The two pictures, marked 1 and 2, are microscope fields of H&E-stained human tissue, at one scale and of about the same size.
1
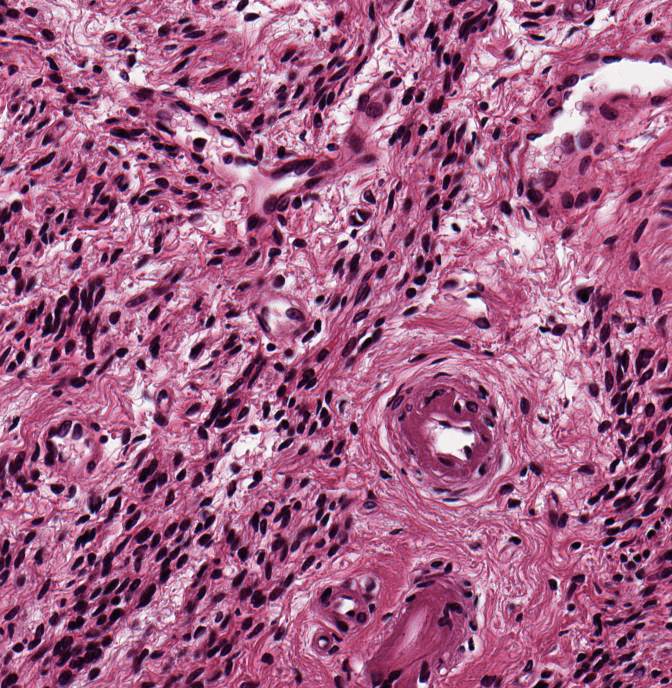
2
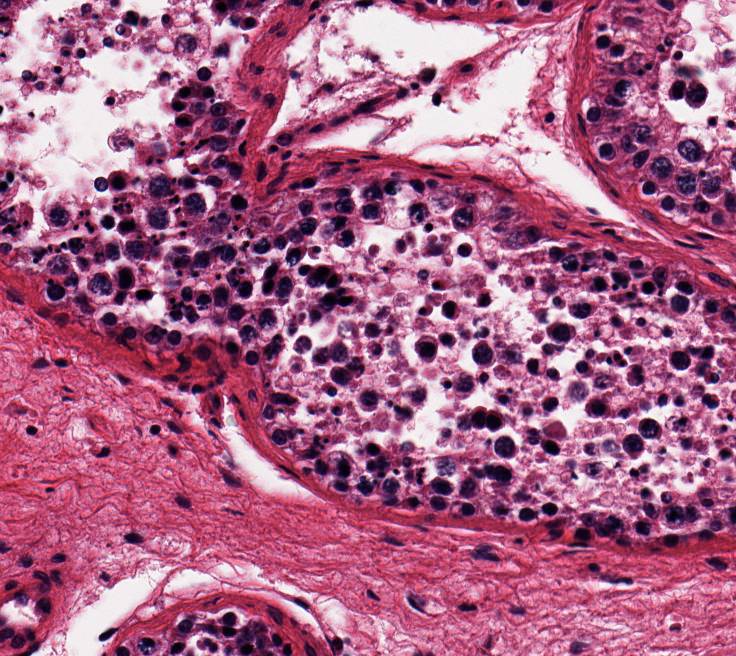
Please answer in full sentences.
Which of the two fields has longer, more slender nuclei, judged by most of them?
It is field 1 whose nuclei are the more elongated.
